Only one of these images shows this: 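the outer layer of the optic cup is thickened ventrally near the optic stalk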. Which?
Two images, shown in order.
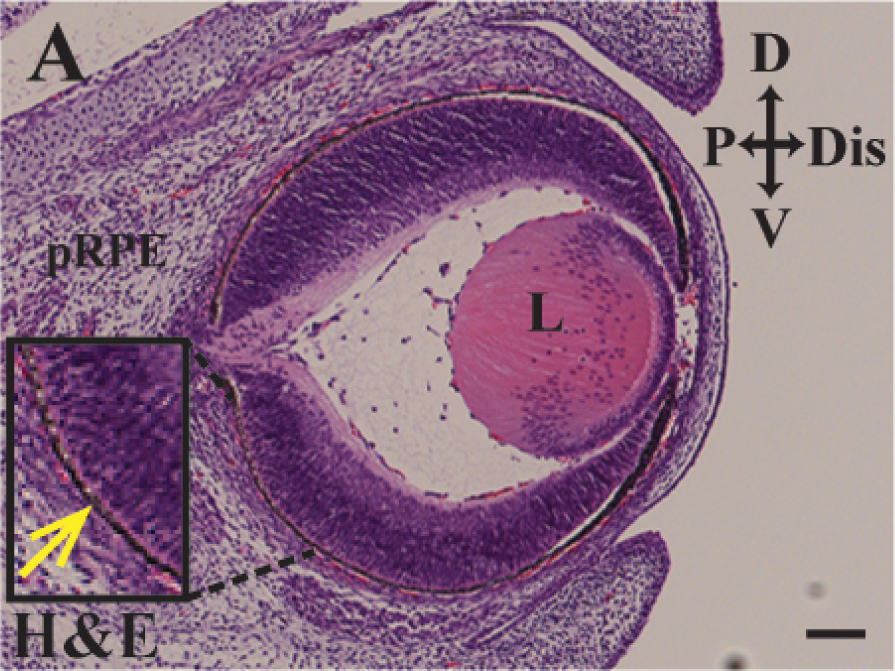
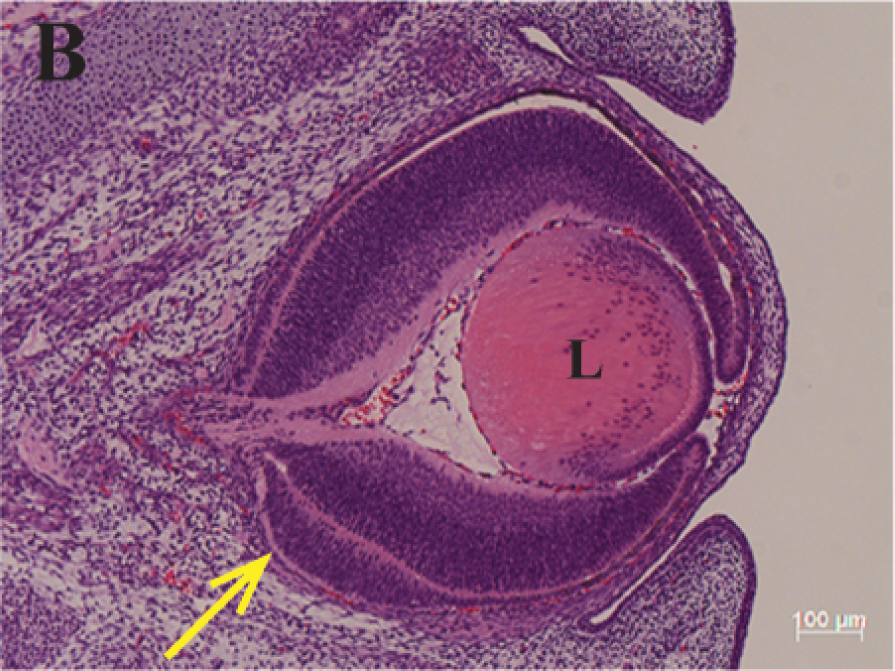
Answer: The second image.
